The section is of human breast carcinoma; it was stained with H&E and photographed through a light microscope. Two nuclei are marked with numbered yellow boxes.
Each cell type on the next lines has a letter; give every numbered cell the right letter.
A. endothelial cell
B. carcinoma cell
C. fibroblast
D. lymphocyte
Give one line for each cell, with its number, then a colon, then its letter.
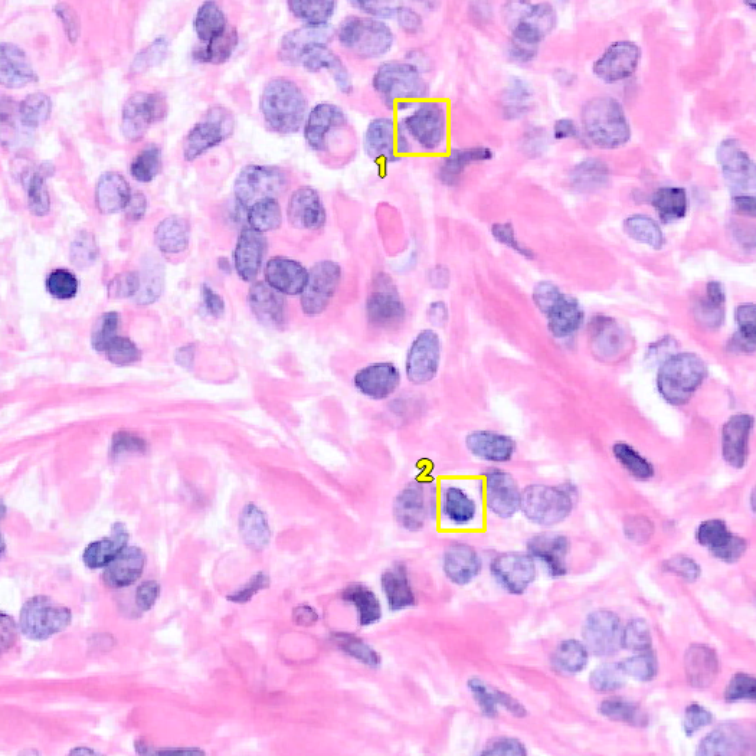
1: B
2: D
